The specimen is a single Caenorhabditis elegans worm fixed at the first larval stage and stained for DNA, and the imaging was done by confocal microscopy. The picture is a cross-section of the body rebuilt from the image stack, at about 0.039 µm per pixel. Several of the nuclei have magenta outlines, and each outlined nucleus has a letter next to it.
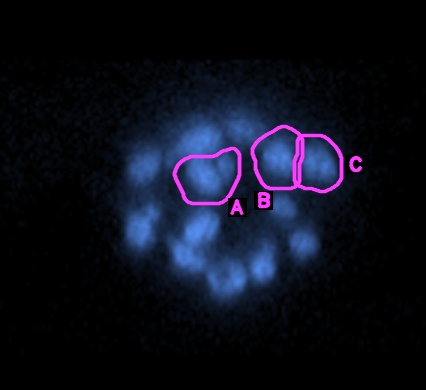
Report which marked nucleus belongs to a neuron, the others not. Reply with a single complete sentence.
Nucleus A belongs to a neuron.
